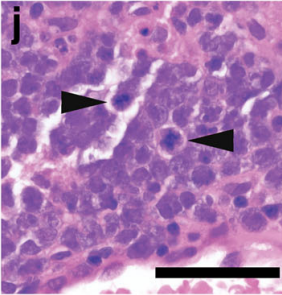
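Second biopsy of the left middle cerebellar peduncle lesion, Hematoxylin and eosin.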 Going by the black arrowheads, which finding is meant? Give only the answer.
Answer: mitoses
